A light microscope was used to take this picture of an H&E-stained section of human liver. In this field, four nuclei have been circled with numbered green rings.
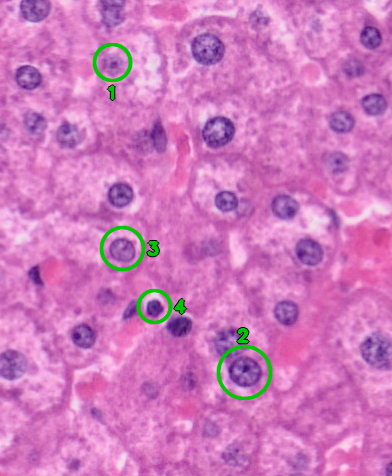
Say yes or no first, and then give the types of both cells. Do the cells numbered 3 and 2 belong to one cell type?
Yes: cells 3 and 2 are both hepatocytes.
